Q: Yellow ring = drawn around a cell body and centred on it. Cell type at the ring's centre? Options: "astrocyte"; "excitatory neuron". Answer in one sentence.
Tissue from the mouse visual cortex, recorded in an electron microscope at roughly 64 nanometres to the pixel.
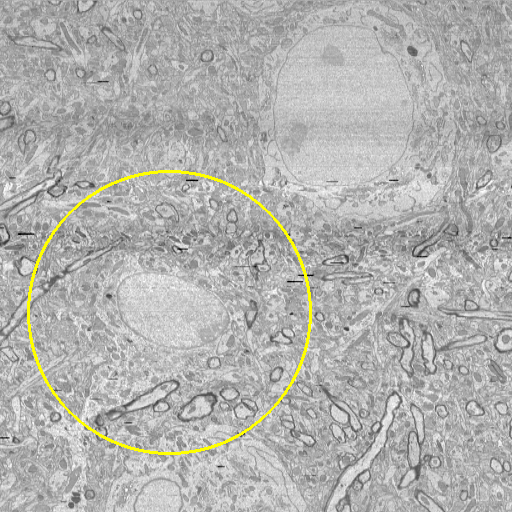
Centred in the ring is an astrocyte.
